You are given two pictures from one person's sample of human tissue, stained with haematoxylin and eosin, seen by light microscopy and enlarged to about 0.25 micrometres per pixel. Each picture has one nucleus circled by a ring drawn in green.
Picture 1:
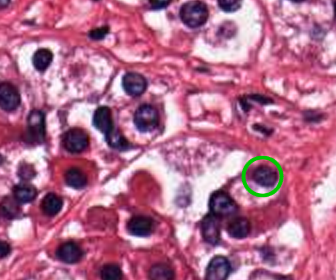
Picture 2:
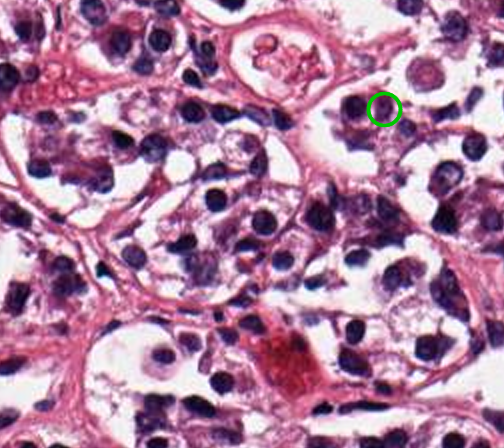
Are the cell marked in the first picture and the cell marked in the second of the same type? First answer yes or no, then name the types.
Yes, both are anterior pituitary cells.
